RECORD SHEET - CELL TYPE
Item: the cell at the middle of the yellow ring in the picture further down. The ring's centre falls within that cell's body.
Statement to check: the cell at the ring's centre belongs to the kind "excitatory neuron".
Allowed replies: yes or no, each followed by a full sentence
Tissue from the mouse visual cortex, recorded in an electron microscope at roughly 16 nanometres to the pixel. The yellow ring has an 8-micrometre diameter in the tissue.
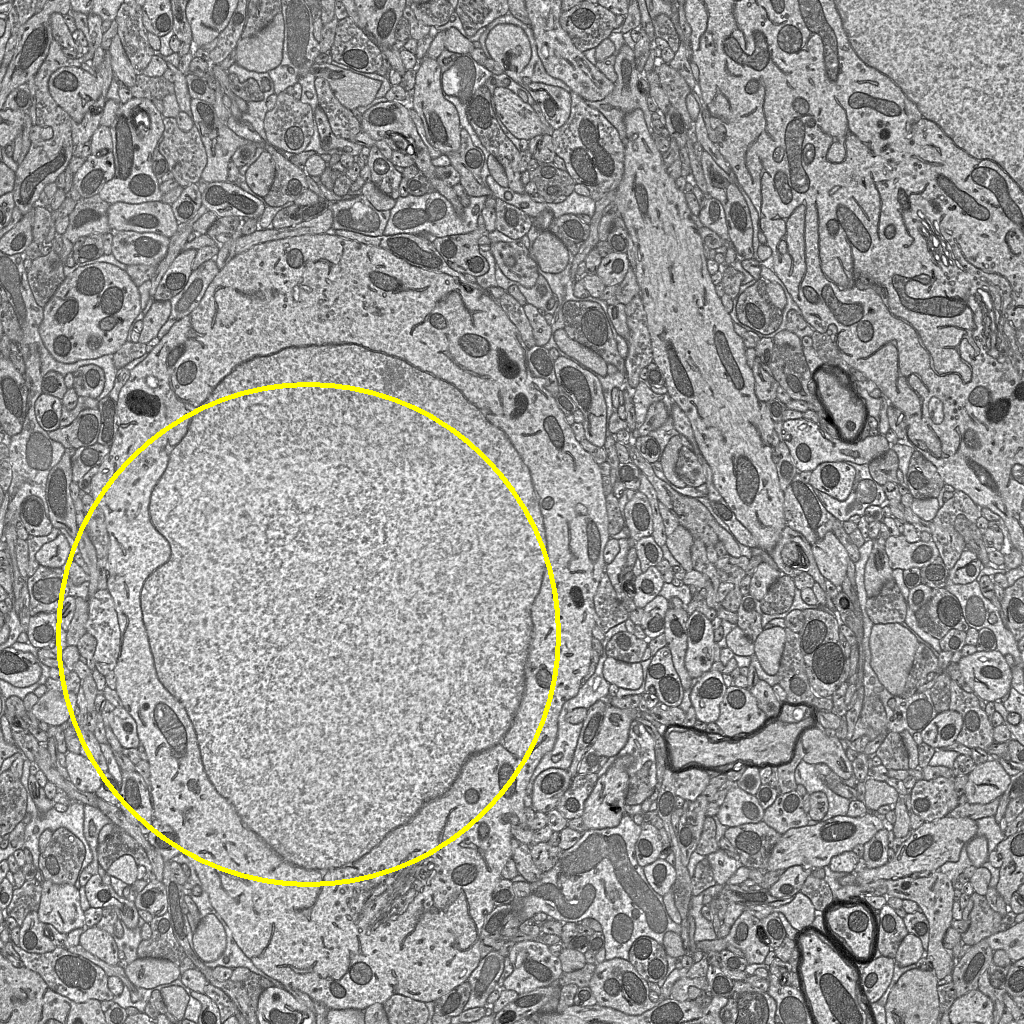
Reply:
Yes, the cell whose body contains the centre of the ring in the picture is of that kind.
